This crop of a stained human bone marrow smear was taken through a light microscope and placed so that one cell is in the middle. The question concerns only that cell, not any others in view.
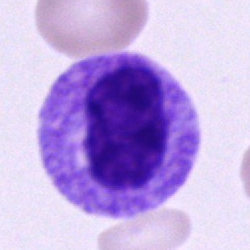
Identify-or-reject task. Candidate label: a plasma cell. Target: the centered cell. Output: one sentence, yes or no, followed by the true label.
No, the central cell does not represent a plasma cell, but a myelocyte.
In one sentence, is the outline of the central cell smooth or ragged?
From every side, the cell boundary is smooth and free of projections.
